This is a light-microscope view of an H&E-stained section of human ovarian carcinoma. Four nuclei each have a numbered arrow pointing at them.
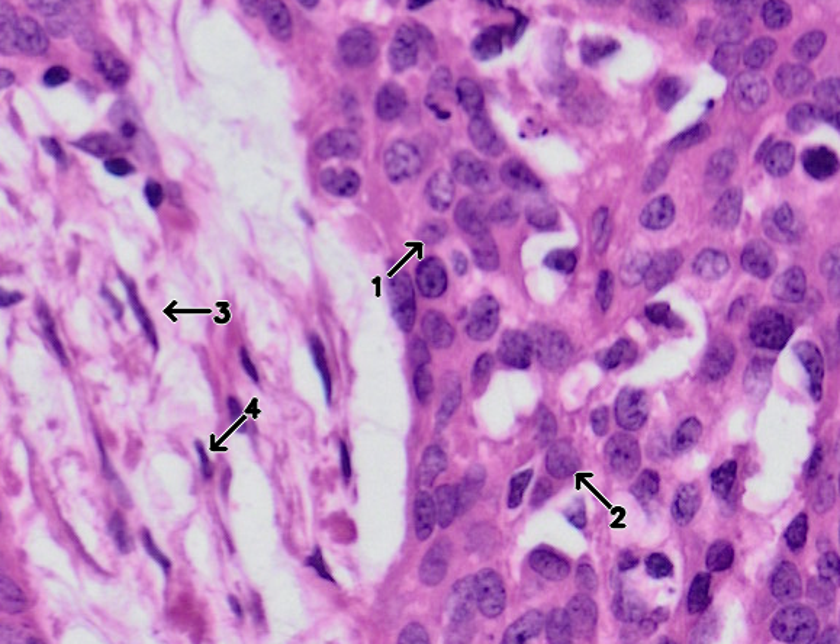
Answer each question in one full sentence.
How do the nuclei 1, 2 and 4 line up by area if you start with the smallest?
The order from the smallest nucleus to the largest is 4, 1, 2.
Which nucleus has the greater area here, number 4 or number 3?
At about 2 times the area of nucleus 4, nucleus 3 is the larger of the two.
